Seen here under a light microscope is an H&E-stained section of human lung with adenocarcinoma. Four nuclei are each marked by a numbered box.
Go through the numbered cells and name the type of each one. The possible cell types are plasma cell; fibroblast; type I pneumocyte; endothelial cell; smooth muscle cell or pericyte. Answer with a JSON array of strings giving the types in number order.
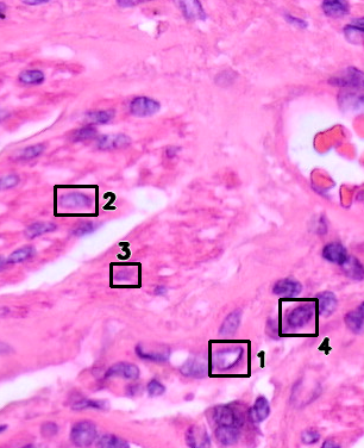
["endothelial cell", "smooth muscle cell or pericyte", "smooth muscle cell or pericyte", "plasma cell"]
